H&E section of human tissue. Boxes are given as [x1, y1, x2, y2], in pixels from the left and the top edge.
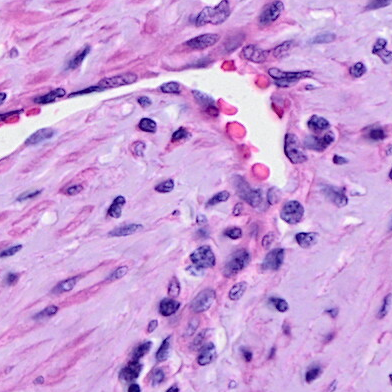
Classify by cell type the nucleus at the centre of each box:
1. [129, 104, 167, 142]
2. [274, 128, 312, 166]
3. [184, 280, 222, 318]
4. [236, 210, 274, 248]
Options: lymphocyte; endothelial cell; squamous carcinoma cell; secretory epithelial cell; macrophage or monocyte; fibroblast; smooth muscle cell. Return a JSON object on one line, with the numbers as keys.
{"1": "lymphocyte", "2": "endothelial cell", "3": "endothelial cell", "4": "endothelial cell"}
